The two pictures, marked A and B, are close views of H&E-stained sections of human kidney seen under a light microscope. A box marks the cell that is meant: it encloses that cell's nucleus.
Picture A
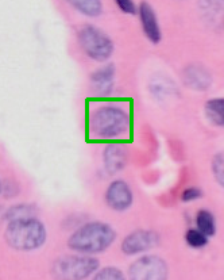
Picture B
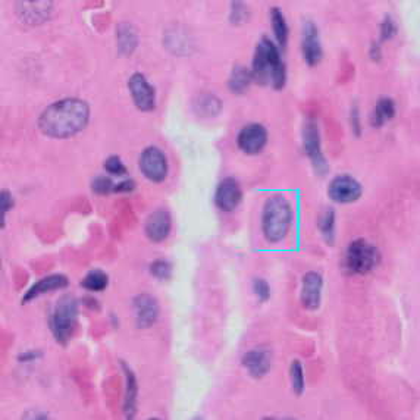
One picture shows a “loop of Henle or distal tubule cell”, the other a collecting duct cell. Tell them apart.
A: collecting duct cell
B: loop of Henle or distal tubule cell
